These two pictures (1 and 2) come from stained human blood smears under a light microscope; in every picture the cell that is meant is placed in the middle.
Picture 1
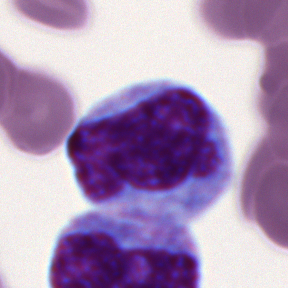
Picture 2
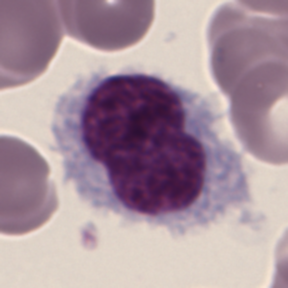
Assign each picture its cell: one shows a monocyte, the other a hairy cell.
1: monocyte
2: hairy cell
